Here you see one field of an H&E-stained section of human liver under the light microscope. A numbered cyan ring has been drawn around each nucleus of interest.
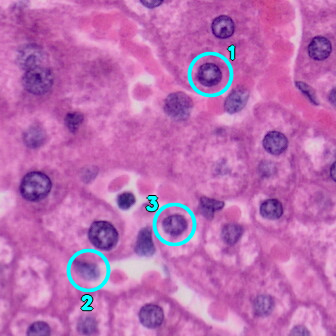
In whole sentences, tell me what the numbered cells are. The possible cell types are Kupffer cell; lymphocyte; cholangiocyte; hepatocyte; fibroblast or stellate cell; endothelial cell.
Cells 1 and 3 are hepatocytes. Cell 2 is an endothelial cell.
